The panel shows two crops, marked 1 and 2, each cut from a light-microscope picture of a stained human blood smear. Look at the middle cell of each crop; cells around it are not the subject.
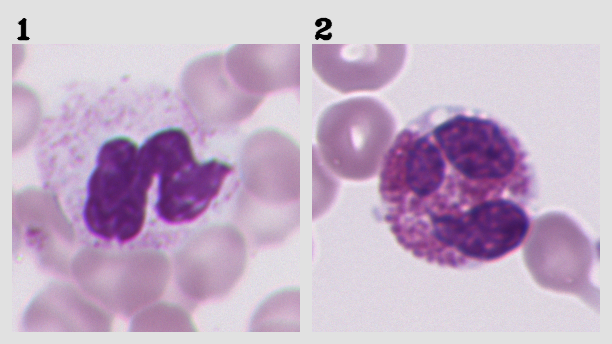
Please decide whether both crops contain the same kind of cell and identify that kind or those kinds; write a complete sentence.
No, crop 1 has a segmented neutrophil at its center, and crop 2 has an eosinophil.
